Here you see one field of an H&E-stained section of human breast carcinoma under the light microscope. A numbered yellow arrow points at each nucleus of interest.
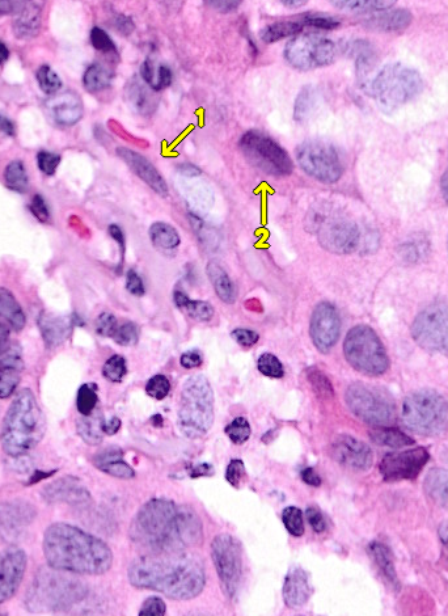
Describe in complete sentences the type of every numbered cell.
Cell 1 is an endothelial cell and cell 2 is a carcinoma cell.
